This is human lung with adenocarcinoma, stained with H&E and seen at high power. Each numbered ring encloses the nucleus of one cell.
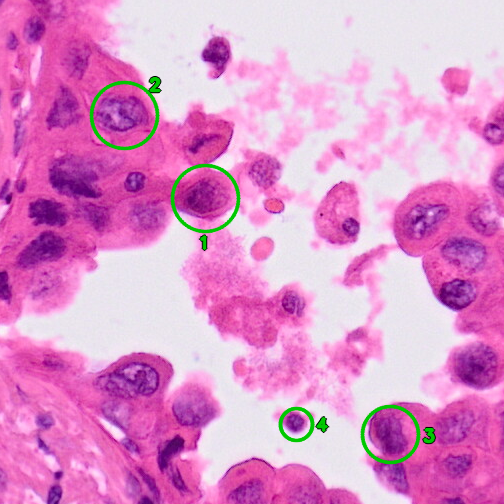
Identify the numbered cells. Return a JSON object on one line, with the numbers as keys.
{"1": "carcinoma cell", "2": "carcinoma cell", "3": "carcinoma cell", "4": "lymphocyte"}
